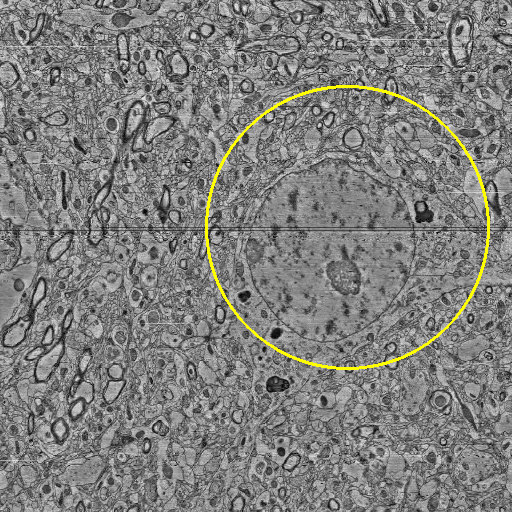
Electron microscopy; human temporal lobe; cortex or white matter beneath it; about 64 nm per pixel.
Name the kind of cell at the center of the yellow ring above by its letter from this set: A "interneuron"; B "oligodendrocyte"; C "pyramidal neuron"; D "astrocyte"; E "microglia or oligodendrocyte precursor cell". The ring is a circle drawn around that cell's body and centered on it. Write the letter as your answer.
C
